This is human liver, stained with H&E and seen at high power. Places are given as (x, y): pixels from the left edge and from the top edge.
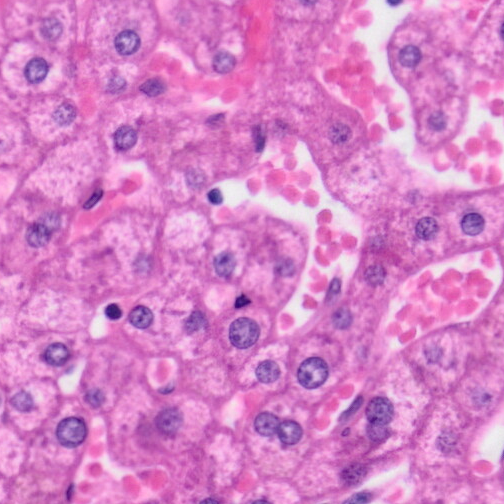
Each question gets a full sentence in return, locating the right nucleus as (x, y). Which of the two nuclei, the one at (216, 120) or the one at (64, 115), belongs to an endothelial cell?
Between the two nuclei, the one sitting at (216, 120) belongs to an endothelial cell.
